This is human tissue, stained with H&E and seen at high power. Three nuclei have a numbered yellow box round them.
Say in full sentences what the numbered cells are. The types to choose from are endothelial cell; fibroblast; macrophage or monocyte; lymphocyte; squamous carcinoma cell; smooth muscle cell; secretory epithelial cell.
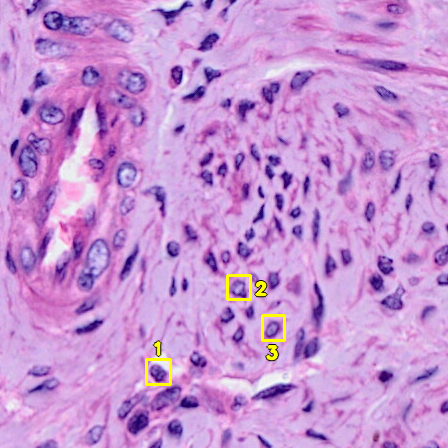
Cell 1 is a lymphocyte, cell 2 is a smooth muscle cell and cell 3 is a smooth muscle cell.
